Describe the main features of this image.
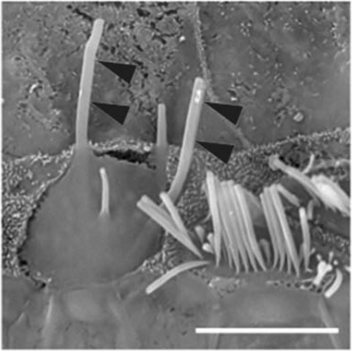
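Scanning electron view of the apical surfaces of cochlear inner hair cells, where hair bundles of stereocilia rise from smooth cell tops surrounded by the textured surfaces of supporting cells. To the right, a bundle of many parallel, thick stereocilia leans in one direction.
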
